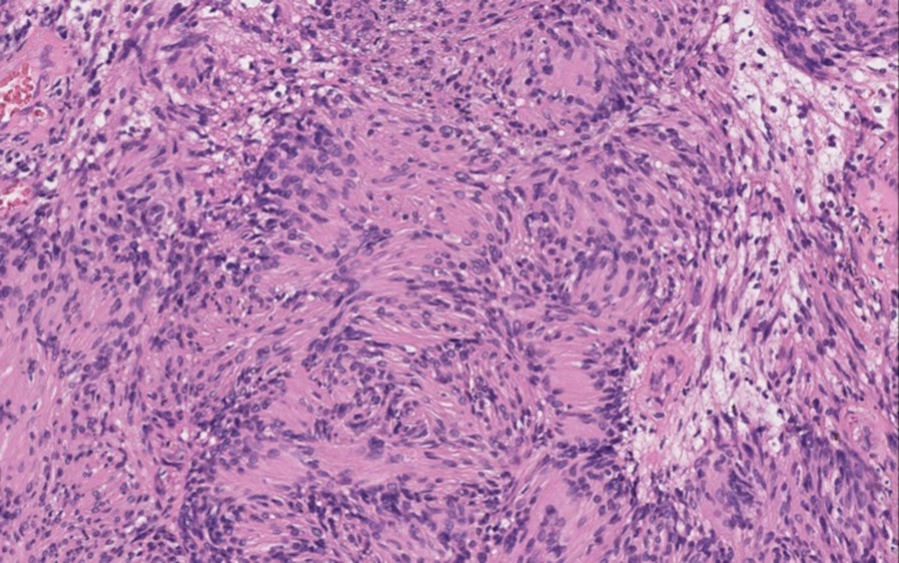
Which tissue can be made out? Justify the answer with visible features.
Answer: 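Spindle-cell tissue with nuclear palisades. Compact cellular areas alternate with loose pale areas.
Schwannoma.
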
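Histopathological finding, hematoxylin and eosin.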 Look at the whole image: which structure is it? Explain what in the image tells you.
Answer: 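Elongated nuclei line up side by side in rows. The rows of nuclei border paler pink, nucleus-poor zones.
Answer: palisading nuclei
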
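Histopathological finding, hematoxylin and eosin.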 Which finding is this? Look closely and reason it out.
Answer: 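Densely cellular compact fascicles fill the centre and left. Loose, pale, vacuolated, sparsely cellular areas lie at the right and top. On this evidence: biphasic growth patterns.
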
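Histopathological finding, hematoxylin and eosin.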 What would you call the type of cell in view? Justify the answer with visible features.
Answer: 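Spindle-shaped cells. Most cells have elongated, tapered nuclei. The cells run in streaming, interlacing fascicles with pink fibrillary cytoplasm.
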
